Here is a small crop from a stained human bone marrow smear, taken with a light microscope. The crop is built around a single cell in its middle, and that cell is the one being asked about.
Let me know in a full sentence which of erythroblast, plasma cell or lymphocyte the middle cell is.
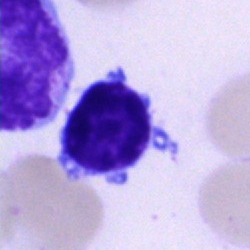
Where the crop is centred, there is a lymphocyte.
